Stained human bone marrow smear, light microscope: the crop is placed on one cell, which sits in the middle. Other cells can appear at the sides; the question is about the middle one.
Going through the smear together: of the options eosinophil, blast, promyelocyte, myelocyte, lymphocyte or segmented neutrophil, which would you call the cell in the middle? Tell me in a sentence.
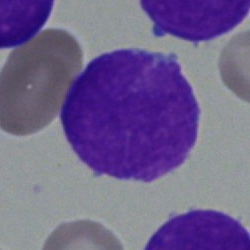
Among the cells in view, the one in the middle is a blast.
